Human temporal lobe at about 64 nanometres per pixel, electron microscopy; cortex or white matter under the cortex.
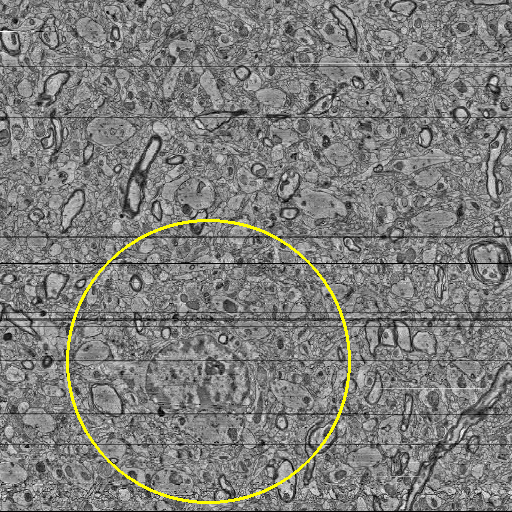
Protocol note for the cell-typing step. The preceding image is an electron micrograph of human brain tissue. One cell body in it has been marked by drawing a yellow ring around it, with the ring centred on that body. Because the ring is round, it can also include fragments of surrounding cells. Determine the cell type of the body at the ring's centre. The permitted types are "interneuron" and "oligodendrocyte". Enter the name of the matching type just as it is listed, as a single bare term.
oligodendrocyte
